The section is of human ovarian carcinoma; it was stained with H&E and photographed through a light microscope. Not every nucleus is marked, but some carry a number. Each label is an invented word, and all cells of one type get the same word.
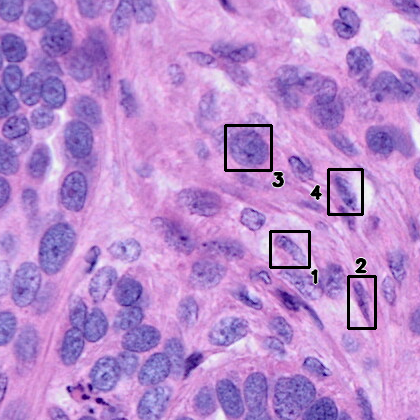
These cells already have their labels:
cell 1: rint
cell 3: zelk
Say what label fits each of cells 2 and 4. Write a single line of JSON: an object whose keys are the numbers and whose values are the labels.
{"2": "rint", "4": "rint"}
